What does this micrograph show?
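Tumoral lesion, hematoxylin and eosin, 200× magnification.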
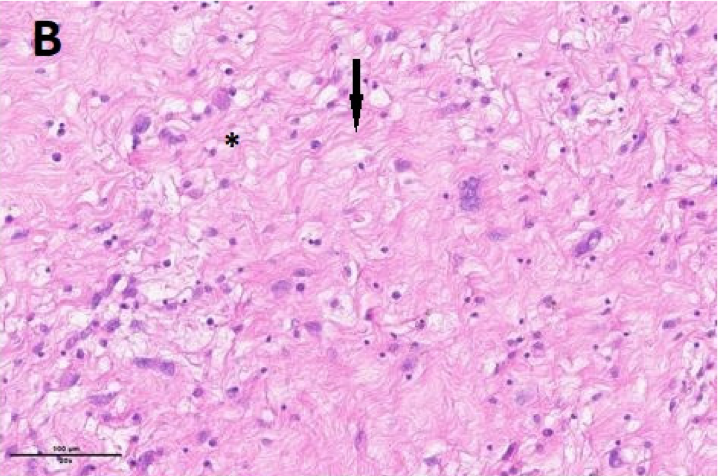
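This tumour is sparsely cellular, with scattered large atypical giant cells carrying enlarged, dark nuclei set in a loose pink fibromyxoid matrix. The background is wispy and fibrillary with pale clear spaces, and the cells lie well apart from one another rather than in sheets.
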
